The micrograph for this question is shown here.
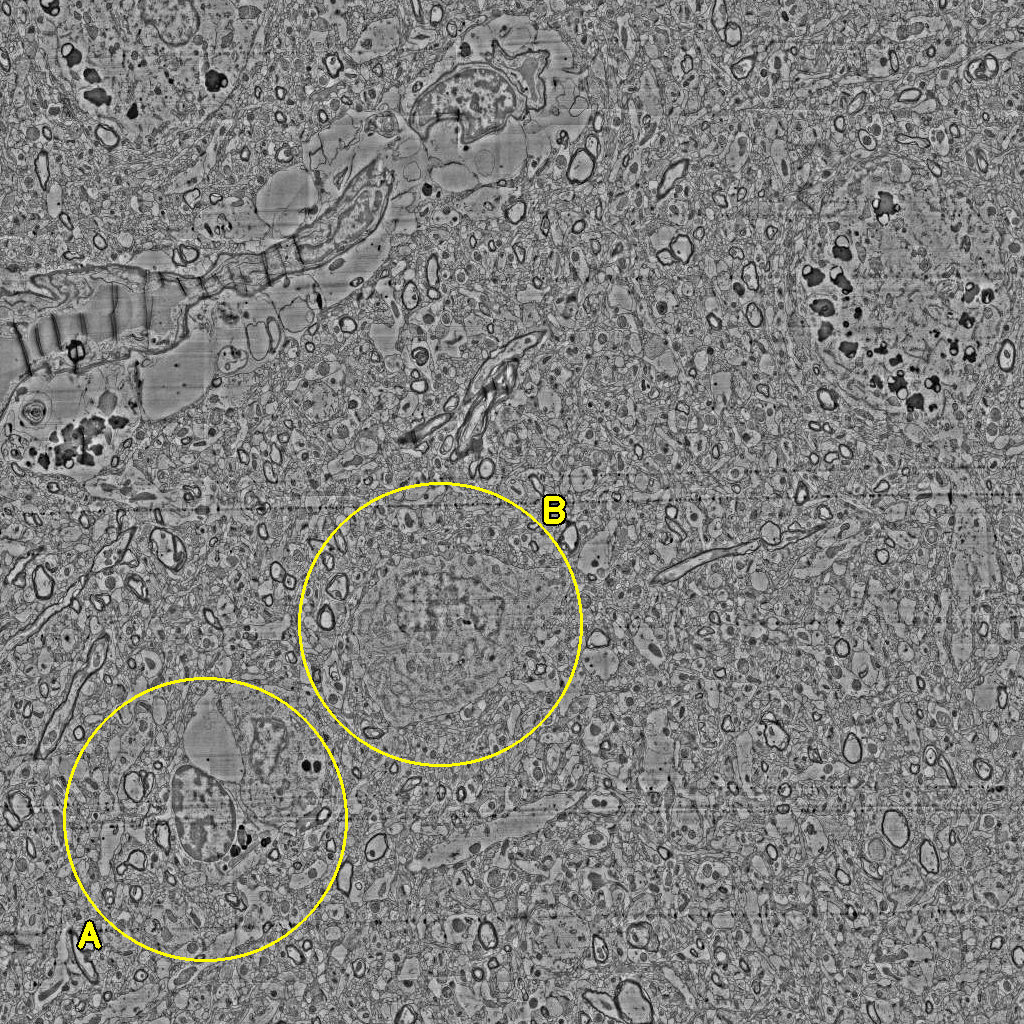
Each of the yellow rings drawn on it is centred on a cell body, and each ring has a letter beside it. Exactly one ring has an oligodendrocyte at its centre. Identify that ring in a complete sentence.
The ring centred on it is ring B.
